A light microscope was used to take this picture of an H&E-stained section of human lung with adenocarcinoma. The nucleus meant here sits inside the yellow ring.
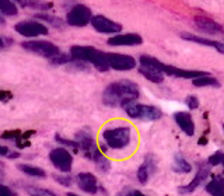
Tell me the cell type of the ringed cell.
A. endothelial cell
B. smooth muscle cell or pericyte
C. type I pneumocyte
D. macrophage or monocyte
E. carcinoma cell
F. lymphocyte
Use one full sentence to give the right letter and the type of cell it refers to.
Of the options offered, F is correct, as the ringed cell is a lymphocyte.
